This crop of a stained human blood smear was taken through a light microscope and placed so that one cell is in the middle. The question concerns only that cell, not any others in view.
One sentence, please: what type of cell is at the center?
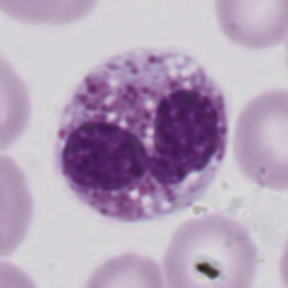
The middle cell in this particular crop is an eosinophil.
